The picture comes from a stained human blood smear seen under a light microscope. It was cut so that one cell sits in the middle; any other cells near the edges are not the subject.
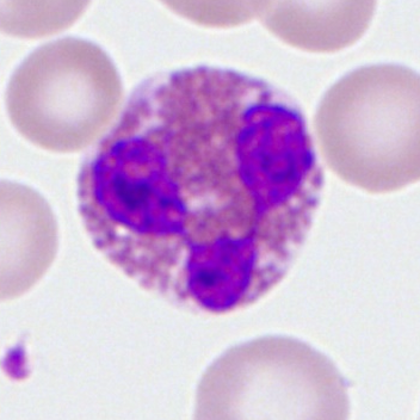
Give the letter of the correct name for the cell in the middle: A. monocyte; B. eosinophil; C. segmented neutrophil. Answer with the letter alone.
B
